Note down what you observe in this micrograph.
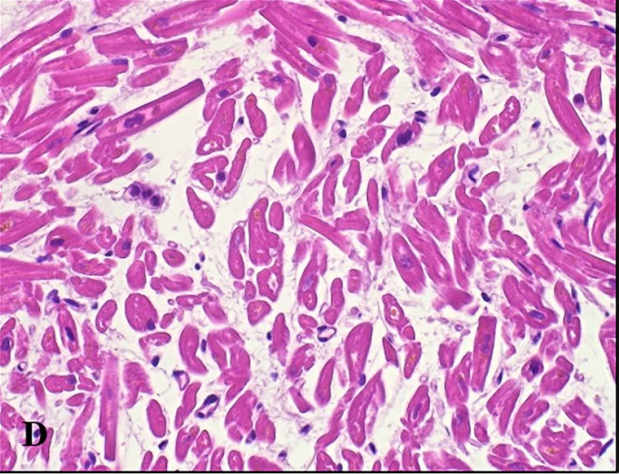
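This is cardiac muscle at higher magnification, with fibres cut obliquely and in cross-section, stained deep pink with purple nuclei. Fibres in longitudinal section at the upper left show centrally placed oval nuclei. A few fine golden-brown granules lie within some fibres. The overall pattern is loose, with gaps between fibres rather than a tightly packed muscle wall.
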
